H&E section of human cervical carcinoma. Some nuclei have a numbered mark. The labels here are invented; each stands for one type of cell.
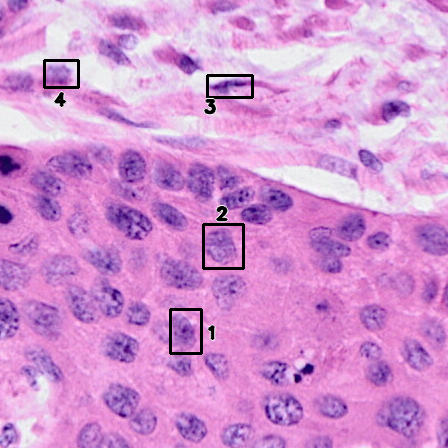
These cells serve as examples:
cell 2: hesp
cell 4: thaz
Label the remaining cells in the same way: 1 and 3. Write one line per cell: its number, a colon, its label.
1: hesp
3: thaz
